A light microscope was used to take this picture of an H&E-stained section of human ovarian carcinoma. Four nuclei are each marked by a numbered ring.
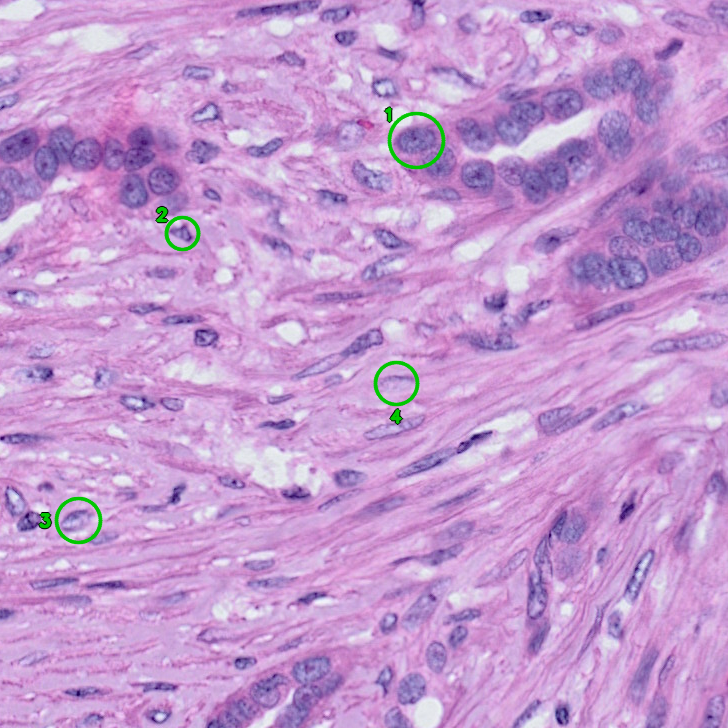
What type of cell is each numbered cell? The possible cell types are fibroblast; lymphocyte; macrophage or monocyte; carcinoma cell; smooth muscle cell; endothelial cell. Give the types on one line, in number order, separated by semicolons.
carcinoma cell; fibroblast; fibroblast; fibroblast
